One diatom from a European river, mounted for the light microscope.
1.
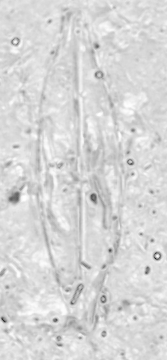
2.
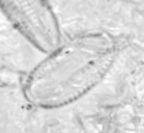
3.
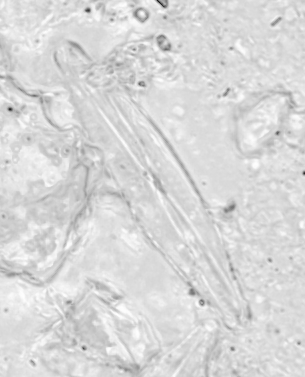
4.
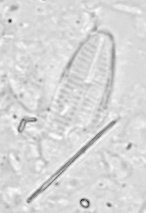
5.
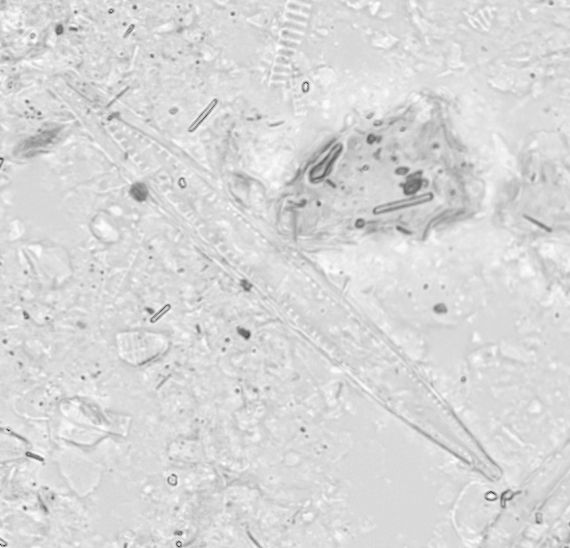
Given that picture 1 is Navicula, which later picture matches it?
3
